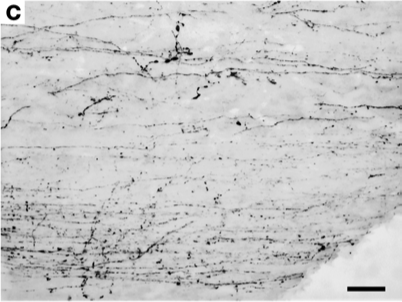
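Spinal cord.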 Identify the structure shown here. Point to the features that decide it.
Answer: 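Thin, long, dark beaded fibers run mostly horizontally over a pale background. Fibers are separated by clear gaps. So: axons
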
